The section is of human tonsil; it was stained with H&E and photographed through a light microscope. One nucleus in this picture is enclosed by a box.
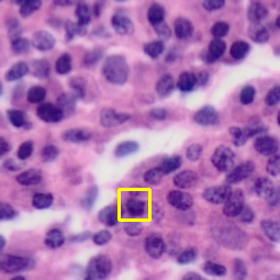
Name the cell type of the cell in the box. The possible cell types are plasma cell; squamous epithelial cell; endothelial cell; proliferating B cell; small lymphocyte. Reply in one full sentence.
In the context of this tissue, the cell in the box is a plasma cell.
